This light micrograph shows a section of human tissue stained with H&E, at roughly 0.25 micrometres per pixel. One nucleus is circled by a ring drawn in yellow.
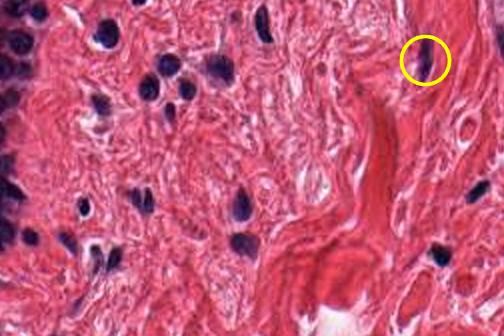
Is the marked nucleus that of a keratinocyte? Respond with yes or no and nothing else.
no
